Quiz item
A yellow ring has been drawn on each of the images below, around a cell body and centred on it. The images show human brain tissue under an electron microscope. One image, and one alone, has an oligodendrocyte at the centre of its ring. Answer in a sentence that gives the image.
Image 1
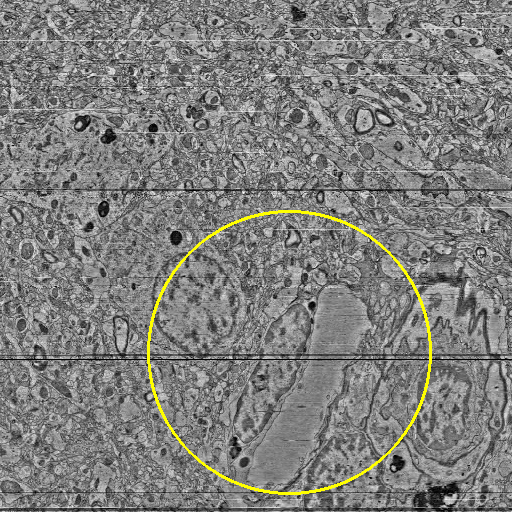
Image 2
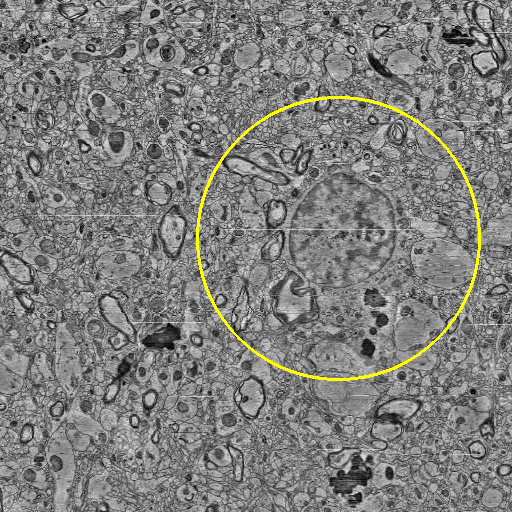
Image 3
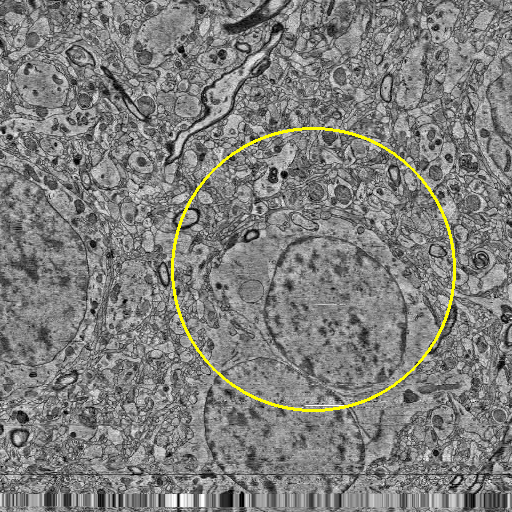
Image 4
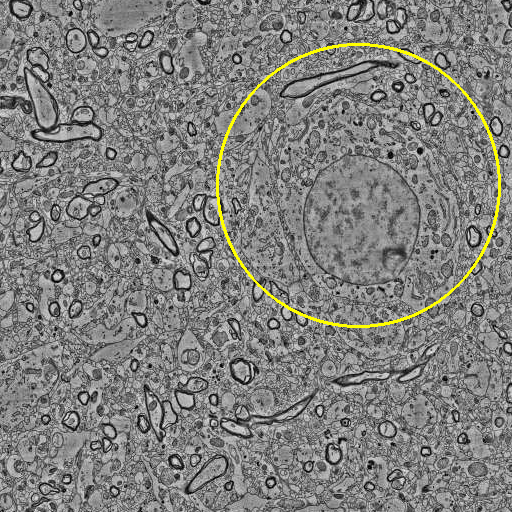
Image 2 shows it at the centre of the ring.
